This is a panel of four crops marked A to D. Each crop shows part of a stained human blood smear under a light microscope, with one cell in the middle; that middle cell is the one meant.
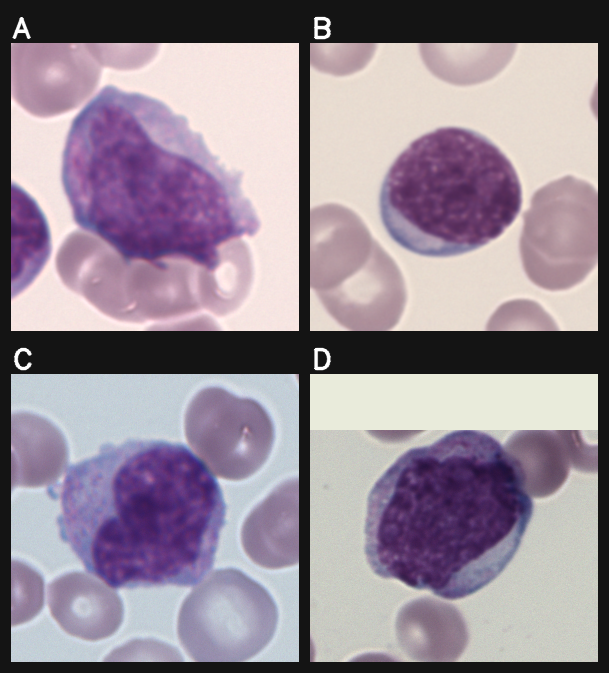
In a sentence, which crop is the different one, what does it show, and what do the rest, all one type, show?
Crop B is the exception here: it is a myeloblast, and the others are atypical promyelocytes.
